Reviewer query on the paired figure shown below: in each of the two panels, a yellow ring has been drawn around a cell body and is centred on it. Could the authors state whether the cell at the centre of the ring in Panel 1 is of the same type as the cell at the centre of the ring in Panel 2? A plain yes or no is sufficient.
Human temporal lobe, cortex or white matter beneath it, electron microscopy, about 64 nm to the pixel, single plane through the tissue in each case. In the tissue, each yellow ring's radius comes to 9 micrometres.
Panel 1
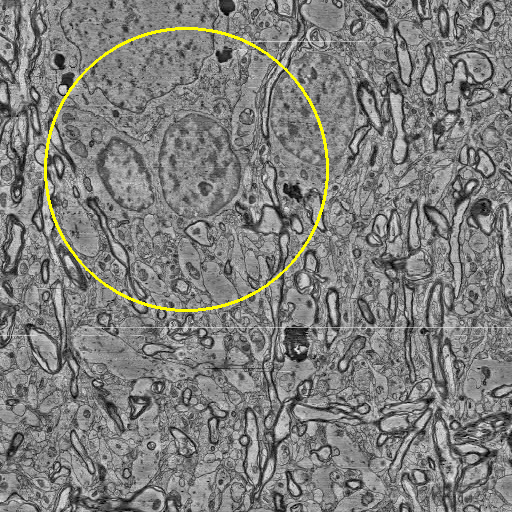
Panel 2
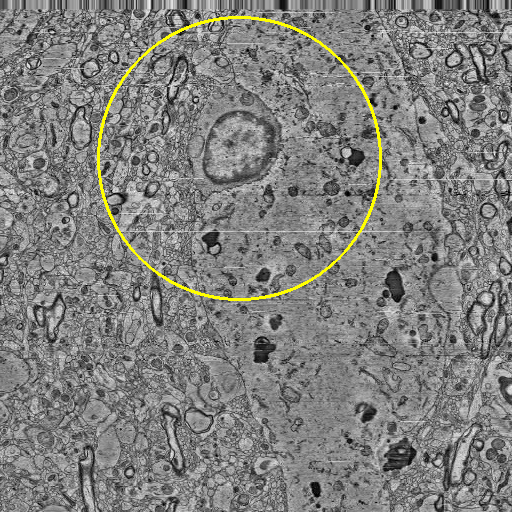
yes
